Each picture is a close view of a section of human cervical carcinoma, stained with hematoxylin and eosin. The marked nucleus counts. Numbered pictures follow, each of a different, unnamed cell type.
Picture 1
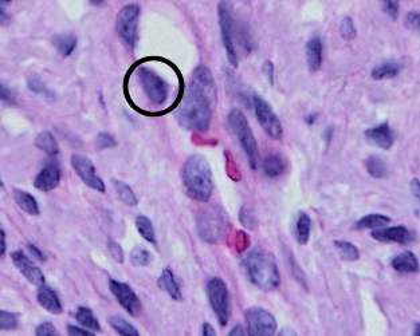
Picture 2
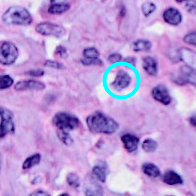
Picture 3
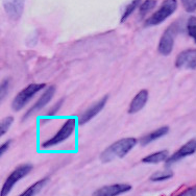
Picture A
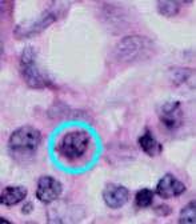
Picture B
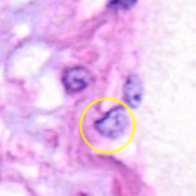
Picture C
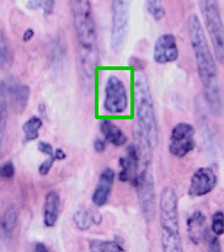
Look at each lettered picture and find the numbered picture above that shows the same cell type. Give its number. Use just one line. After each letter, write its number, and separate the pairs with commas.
A 2, B 1, C 2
